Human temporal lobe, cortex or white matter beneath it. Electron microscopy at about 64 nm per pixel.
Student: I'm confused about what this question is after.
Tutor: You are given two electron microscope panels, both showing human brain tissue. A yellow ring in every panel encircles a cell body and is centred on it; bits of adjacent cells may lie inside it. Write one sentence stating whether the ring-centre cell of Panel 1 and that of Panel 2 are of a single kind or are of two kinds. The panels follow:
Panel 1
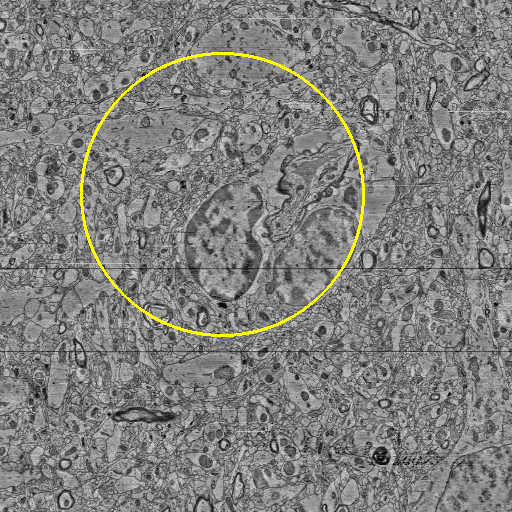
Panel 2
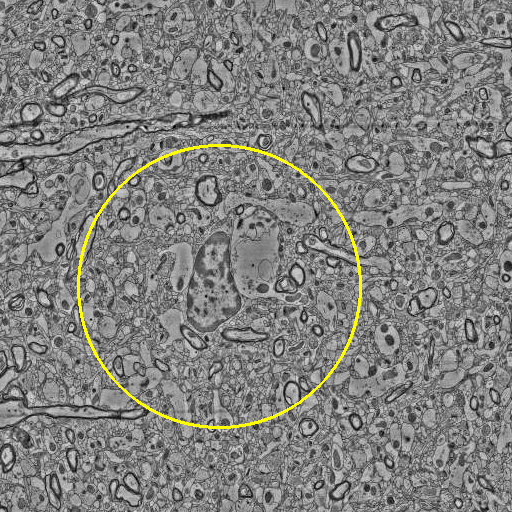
Here, the Panel 1 ring-centre cell and the Panel 2 ring-centre cell are of a single kind.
